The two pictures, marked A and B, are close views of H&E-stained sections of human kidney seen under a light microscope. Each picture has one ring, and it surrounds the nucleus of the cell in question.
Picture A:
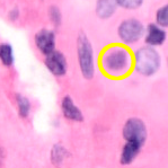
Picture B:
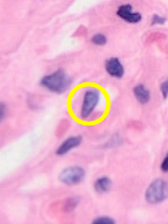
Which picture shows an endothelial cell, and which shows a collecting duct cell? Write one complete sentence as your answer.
Picture A shows a collecting duct cell and picture B shows an endothelial cell.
